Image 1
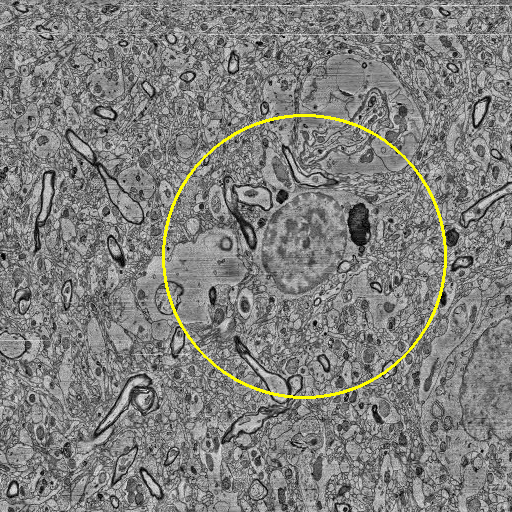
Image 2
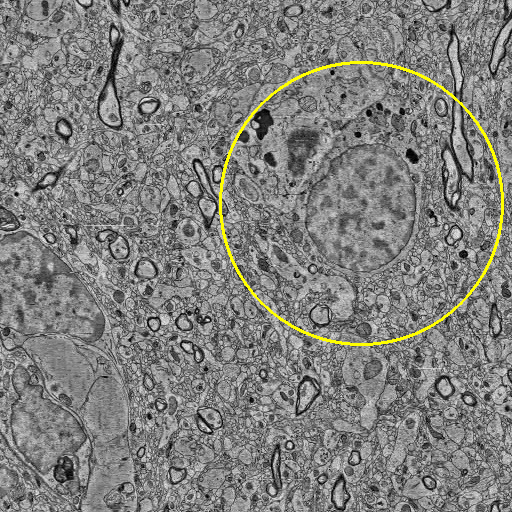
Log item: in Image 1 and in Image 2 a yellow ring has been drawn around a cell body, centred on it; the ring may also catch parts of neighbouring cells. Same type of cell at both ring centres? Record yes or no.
yes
